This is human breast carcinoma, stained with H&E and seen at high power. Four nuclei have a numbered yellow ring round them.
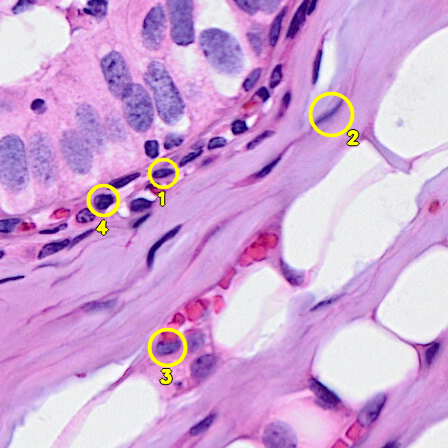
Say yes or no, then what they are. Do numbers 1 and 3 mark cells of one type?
Yes, both are endothelial cells.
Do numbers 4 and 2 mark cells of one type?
No, cell 4 is a lymphocyte and cell 2 is a fibroblast.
